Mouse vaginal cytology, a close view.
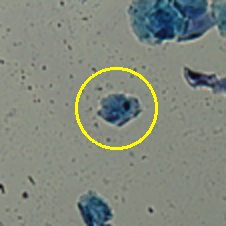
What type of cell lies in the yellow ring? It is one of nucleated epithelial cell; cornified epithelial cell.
The ringed cell is a nucleated epithelial cell.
